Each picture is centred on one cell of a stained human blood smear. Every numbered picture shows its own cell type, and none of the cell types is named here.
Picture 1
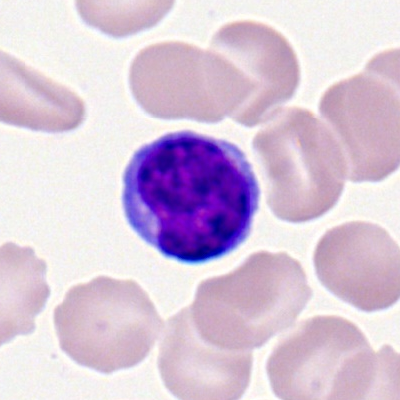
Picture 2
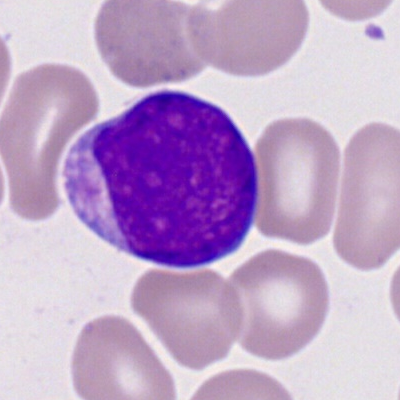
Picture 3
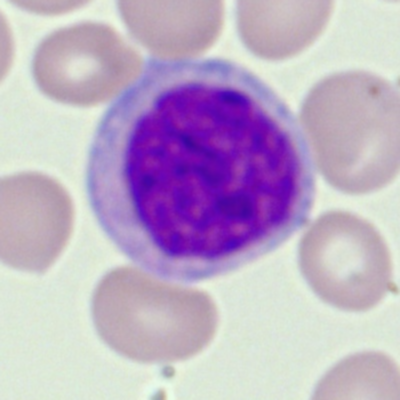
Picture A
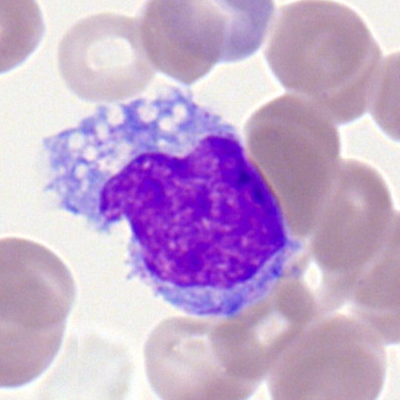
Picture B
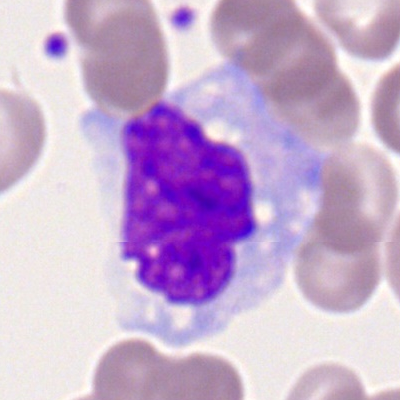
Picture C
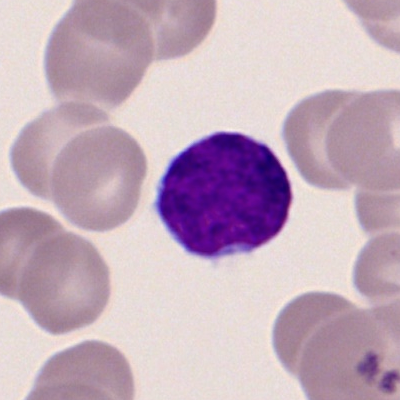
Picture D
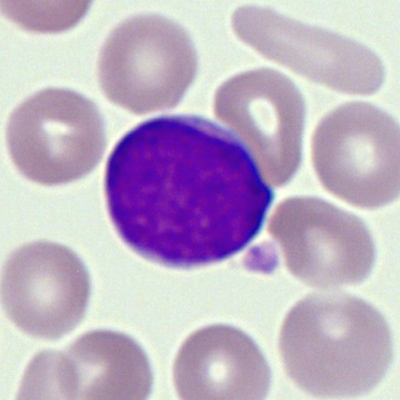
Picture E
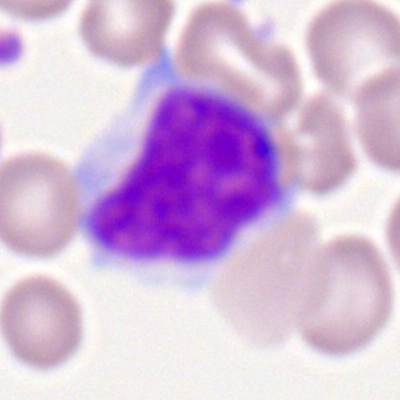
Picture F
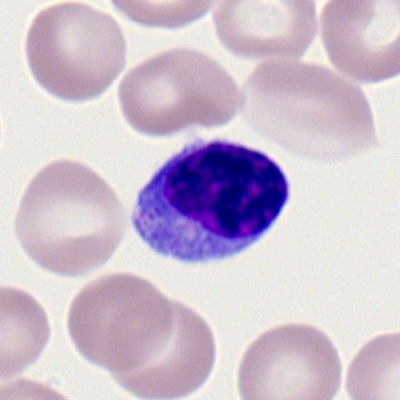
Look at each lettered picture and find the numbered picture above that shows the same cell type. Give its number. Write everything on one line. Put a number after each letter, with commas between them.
A 3, B 3, C 1, D 2, E 1, F 1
